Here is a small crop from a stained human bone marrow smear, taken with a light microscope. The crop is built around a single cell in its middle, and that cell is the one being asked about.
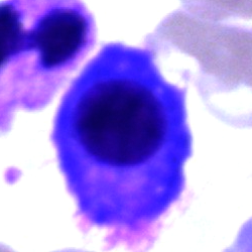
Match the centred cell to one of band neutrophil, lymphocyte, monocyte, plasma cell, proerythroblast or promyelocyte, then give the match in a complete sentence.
The cell in the exact centre of the crop is a plasma cell.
